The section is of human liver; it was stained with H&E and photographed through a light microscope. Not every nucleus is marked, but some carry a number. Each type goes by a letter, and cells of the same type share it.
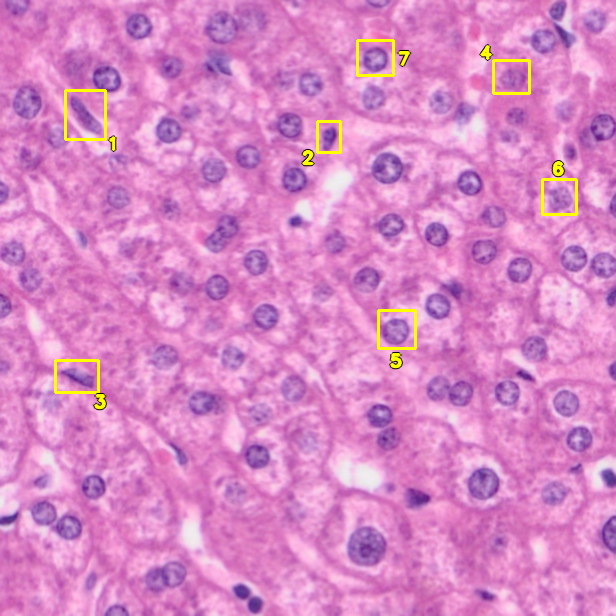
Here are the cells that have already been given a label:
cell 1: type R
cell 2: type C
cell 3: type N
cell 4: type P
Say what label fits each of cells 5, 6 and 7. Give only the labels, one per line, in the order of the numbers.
type P
type P
type P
